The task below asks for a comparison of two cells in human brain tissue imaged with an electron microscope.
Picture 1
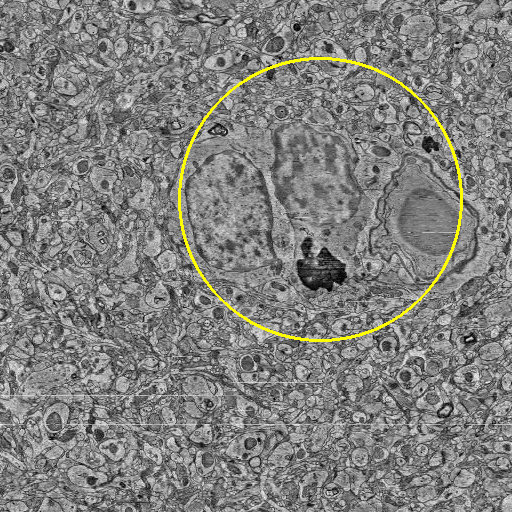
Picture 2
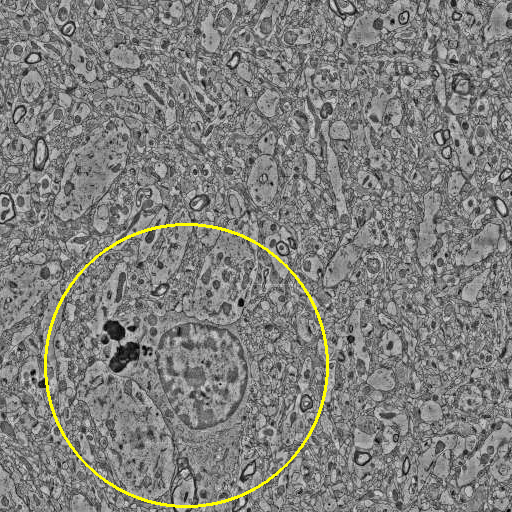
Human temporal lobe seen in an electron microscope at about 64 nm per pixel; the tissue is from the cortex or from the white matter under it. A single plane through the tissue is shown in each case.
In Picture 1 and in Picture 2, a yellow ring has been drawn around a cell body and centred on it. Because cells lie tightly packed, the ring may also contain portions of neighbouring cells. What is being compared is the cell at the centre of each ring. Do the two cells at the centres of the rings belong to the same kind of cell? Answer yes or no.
yes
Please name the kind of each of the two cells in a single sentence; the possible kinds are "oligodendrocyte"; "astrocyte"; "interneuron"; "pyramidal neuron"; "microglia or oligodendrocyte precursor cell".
Each of the two pictures has an oligodendrocyte at the ring centre.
